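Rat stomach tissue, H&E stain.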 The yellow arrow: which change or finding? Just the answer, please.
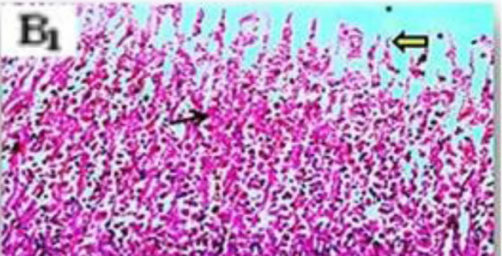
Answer: Desquamations in mucous cells.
